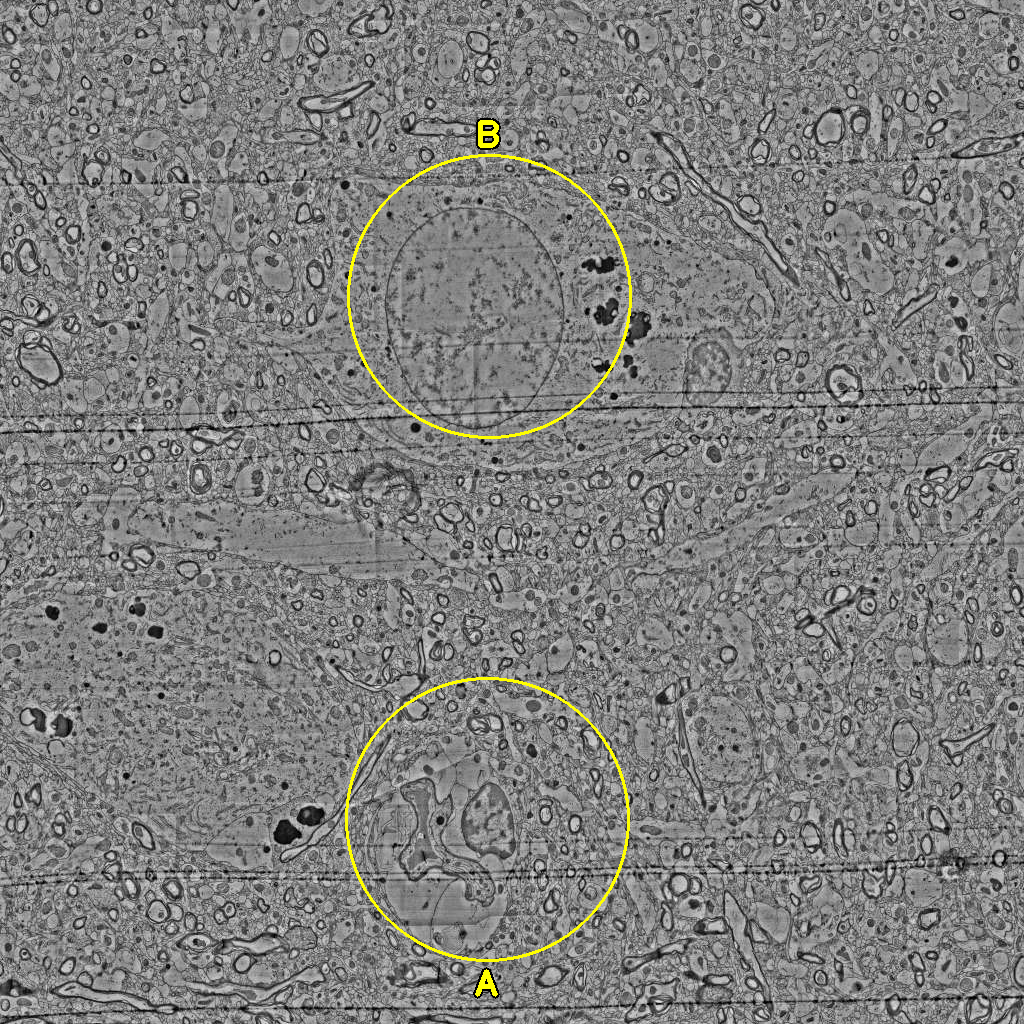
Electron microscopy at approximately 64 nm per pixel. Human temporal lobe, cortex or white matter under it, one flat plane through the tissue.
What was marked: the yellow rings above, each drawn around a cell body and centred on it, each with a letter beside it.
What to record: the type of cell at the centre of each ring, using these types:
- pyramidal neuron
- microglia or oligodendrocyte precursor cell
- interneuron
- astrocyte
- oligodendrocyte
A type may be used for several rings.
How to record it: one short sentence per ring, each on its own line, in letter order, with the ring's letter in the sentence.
Centred in ring A is a microglial cell or oligodendrocyte precursor cell.
Centred in ring B is a pyramidal neuron.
